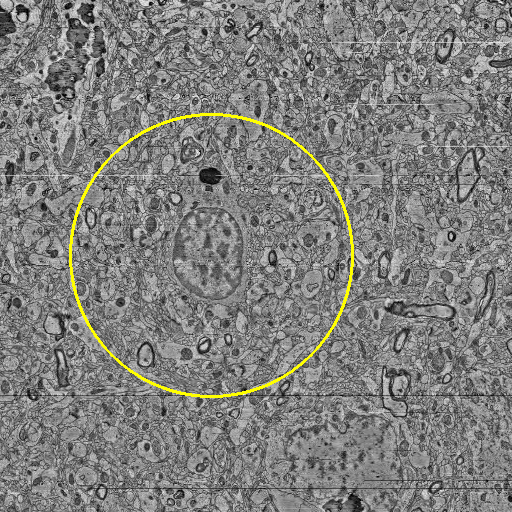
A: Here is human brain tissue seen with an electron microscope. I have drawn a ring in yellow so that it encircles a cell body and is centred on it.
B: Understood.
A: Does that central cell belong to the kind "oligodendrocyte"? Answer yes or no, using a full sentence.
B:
Yes, the central cell inside your yellow ring belongs to that kind.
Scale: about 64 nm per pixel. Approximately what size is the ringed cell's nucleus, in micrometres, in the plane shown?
In this plane the nucleus measures roughly 6 by 5 micrometers.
